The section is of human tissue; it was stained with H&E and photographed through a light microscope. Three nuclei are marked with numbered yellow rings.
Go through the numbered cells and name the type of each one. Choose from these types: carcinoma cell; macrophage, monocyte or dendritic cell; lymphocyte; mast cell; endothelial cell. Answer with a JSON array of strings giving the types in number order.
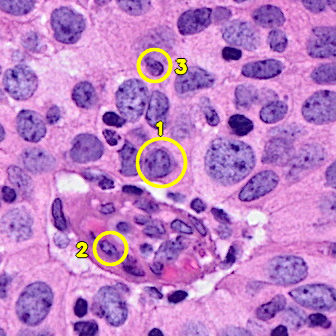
["carcinoma cell", "endothelial cell", "carcinoma cell"]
